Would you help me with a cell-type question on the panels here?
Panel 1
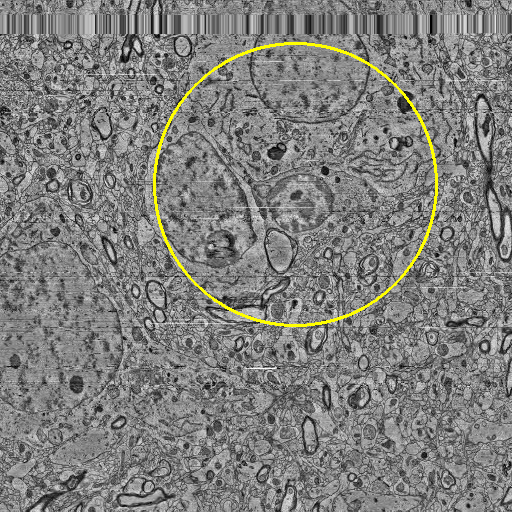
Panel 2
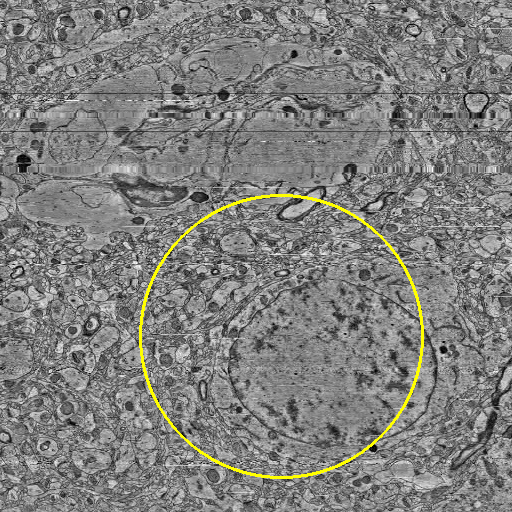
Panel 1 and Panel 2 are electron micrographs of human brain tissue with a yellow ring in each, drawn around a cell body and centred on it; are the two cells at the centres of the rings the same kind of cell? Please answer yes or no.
no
